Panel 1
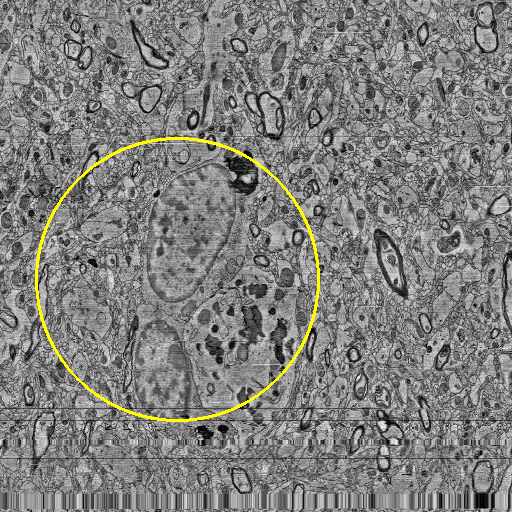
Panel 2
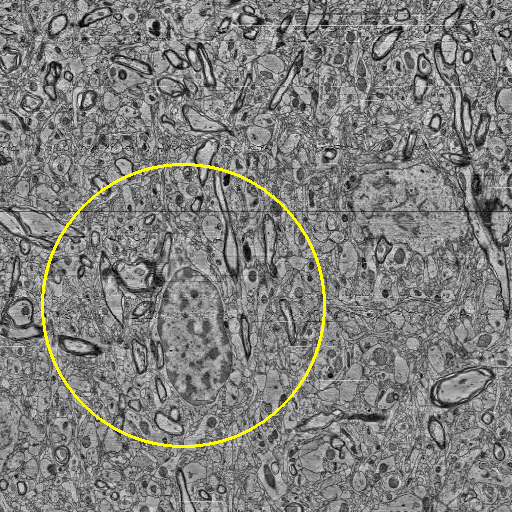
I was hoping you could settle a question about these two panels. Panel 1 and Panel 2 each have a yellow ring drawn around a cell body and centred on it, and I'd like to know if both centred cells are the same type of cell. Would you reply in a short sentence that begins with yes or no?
No, they are two types of cell.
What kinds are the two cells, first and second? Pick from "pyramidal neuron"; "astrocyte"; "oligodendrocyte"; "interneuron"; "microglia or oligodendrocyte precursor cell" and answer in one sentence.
The second picture holds a microglial cell or oligodendrocyte precursor cell in its ring, and the first holds an oligodendrocyte.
